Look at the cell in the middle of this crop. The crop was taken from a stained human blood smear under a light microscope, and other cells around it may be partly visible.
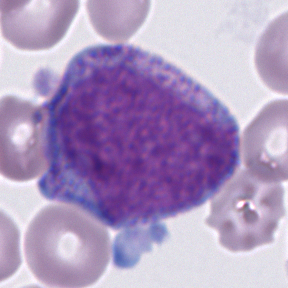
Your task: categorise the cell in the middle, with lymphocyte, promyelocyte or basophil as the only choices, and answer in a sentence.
By classification, the middle cell of this crop is a promyelocyte.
